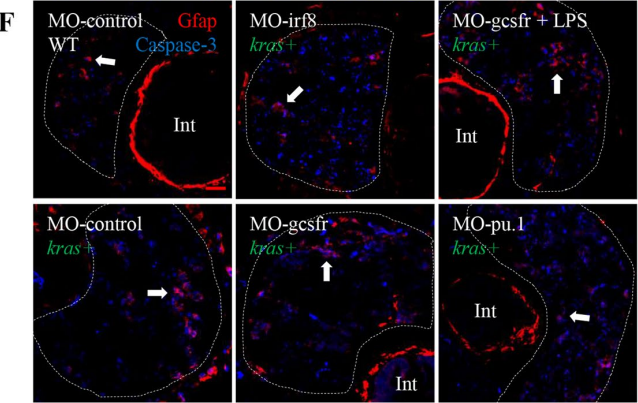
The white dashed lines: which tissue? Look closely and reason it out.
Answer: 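Livers. Each image has a thin white dashed line enclosing a broad field of small cells. Scattered red-stained cells lie inside the outlined field.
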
